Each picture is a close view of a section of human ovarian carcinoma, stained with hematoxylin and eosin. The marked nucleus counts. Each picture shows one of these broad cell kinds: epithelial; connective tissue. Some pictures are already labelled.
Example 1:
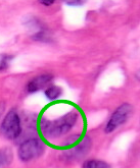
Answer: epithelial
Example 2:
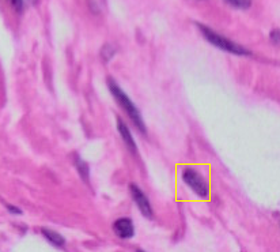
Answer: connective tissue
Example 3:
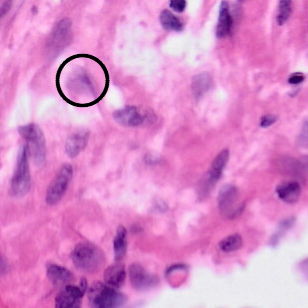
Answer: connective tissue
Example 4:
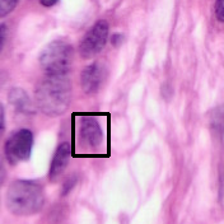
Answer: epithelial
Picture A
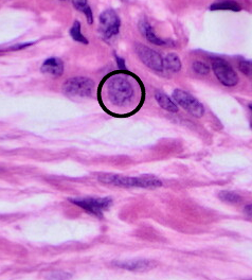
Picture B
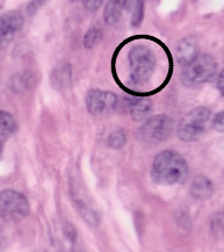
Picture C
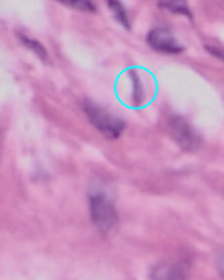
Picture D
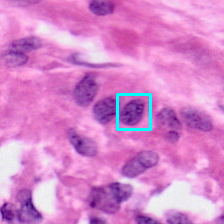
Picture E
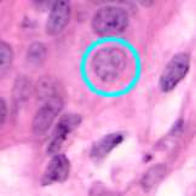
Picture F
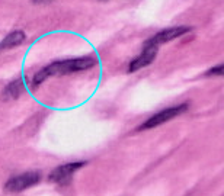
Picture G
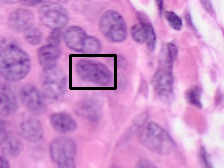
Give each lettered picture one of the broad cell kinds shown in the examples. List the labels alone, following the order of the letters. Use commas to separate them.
epithelial, epithelial, connective tissue, epithelial, epithelial, connective tissue, epithelial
